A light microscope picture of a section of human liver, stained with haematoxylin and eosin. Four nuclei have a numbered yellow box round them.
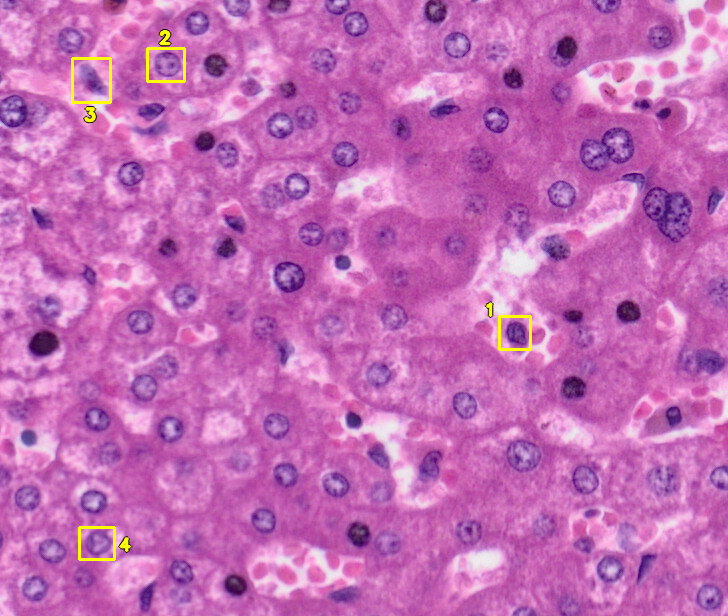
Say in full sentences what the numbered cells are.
Cell 1 is a Kupffer cell. Cells 2 and 4 are hepatocytes. Cell 3 is an endothelial cell.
